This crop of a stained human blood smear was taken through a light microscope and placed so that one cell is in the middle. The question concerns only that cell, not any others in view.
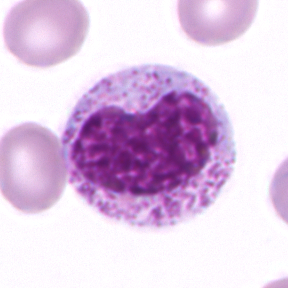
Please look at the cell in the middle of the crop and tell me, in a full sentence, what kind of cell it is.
The central cell shown in this smear crop is a metamyelocyte.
